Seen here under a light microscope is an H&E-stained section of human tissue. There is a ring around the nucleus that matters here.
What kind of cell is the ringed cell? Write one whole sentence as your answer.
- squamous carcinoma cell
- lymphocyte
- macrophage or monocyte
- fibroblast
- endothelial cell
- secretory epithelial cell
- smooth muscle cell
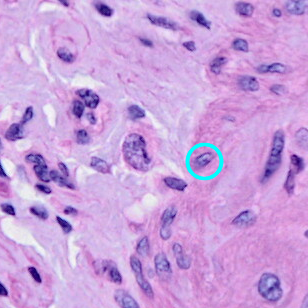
This is a smooth muscle cell.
